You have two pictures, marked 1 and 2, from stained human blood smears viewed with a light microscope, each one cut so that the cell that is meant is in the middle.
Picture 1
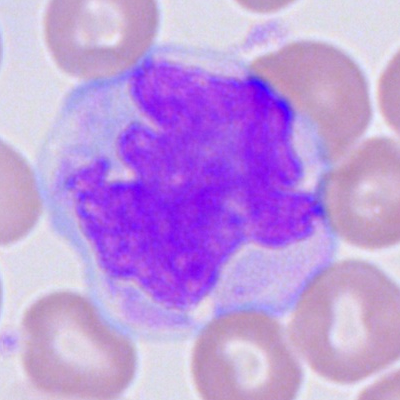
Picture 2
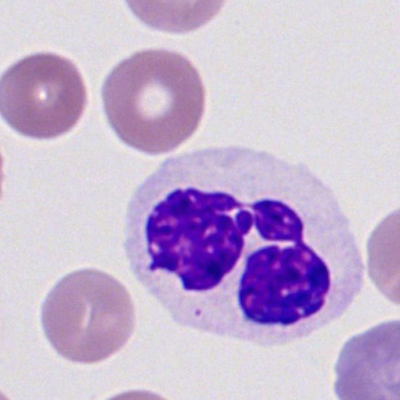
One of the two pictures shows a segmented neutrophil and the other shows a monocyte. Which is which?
1: monocyte
2: segmented neutrophil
